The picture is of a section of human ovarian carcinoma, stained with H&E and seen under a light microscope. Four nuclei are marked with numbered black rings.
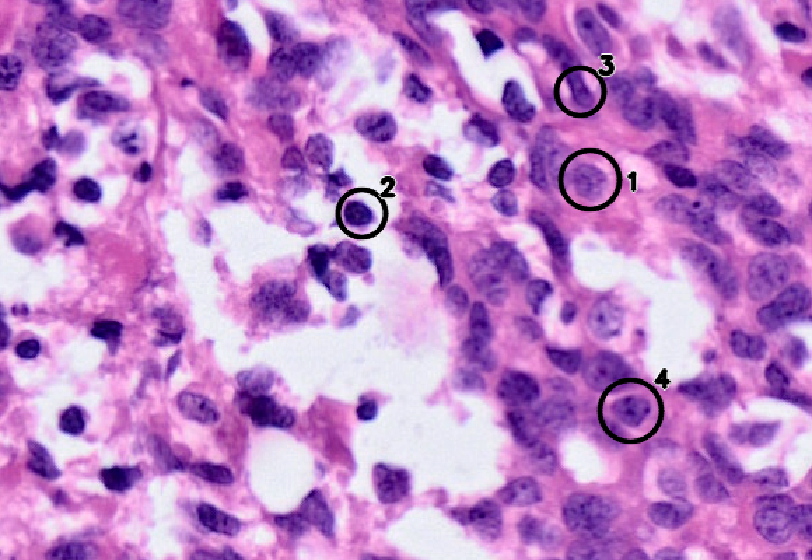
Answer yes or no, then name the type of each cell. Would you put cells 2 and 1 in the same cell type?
Yes, the two numbered cells, 2 and 1, are both carcinoma cells.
